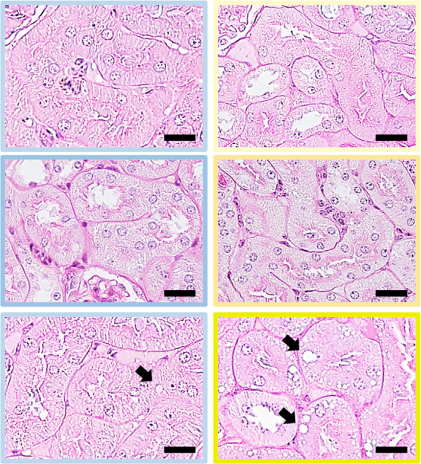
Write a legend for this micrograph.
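These are cross-sections of kidney proximal tubules lined by cuboidal epithelial cells. Each cell has a round nucleus with a visible nucleolus and abundant pink, finely granular cytoplasm. The luminal surface carries a magenta-staining brush border, and the tubules are outlined by thin magenta basement membranes separating neighbouring tubules.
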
